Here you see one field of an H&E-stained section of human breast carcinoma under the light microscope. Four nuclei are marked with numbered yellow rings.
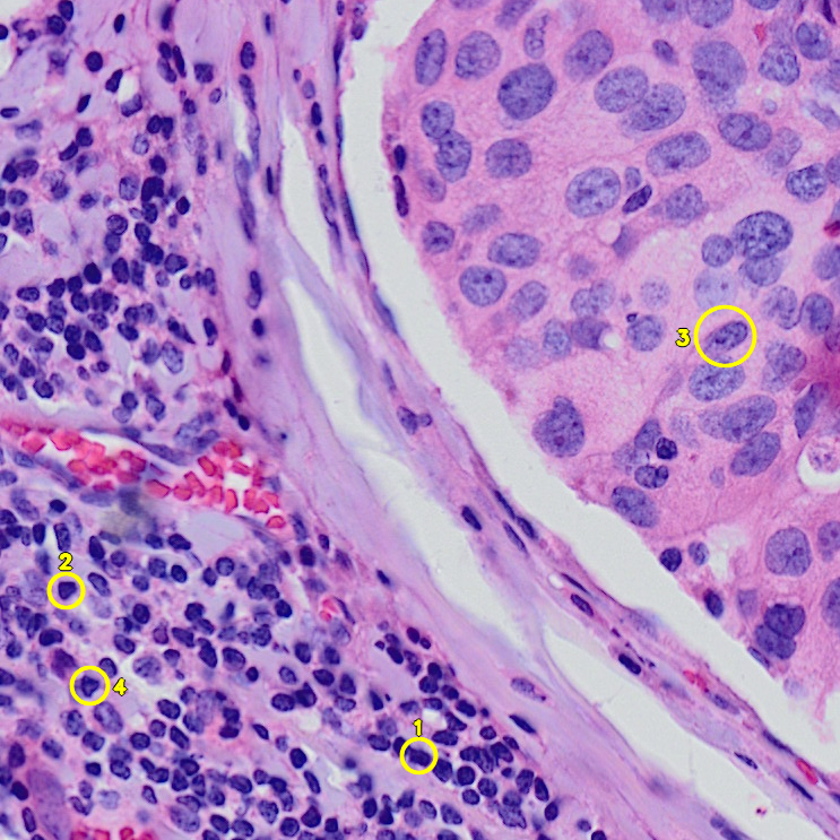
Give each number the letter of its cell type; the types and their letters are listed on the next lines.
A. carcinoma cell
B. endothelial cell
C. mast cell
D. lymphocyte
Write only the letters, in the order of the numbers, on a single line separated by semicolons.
D; D; A; D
